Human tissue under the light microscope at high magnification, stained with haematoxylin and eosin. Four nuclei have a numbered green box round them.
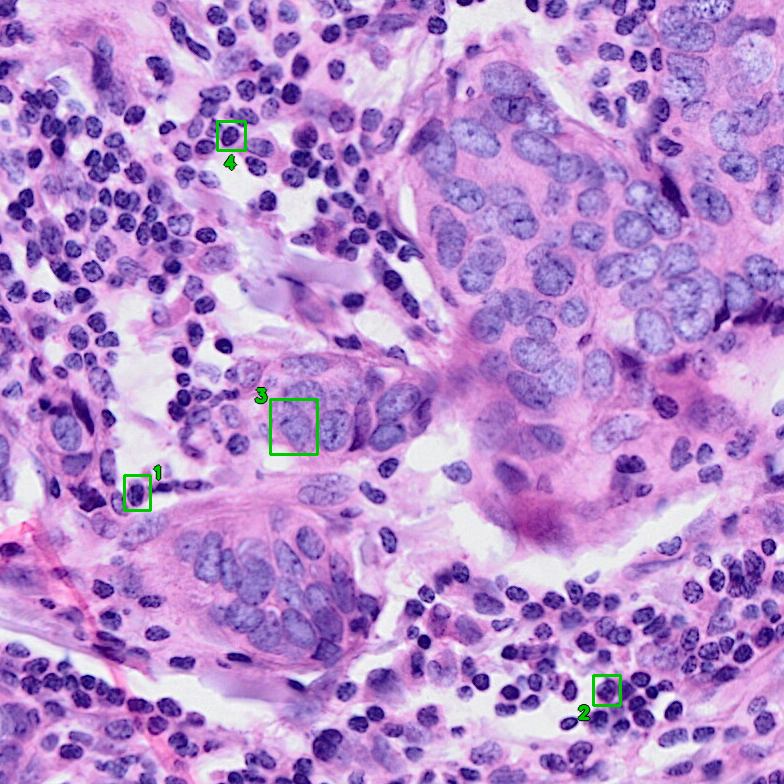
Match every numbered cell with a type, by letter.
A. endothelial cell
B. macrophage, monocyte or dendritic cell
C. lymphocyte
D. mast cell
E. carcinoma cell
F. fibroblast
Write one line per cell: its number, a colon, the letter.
1: C
2: C
3: E
4: C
